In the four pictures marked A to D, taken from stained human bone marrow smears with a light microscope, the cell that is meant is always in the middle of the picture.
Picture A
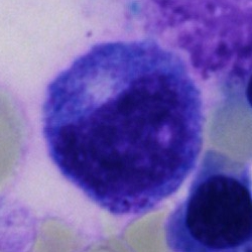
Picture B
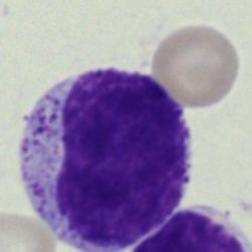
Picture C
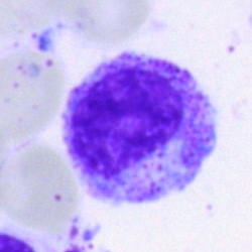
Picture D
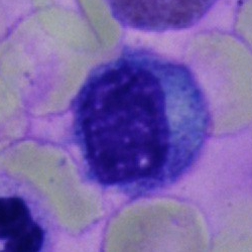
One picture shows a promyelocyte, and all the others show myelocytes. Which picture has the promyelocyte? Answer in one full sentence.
It is picture A that shows the promyelocyte.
